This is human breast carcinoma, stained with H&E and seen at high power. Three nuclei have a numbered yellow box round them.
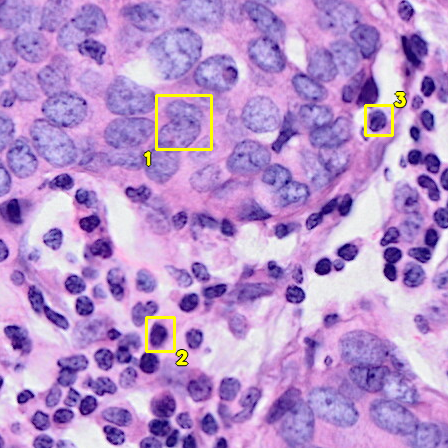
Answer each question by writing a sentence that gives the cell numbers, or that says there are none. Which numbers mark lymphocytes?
Here, the cells that carry numbers 2 and 3 are lymphocytes.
